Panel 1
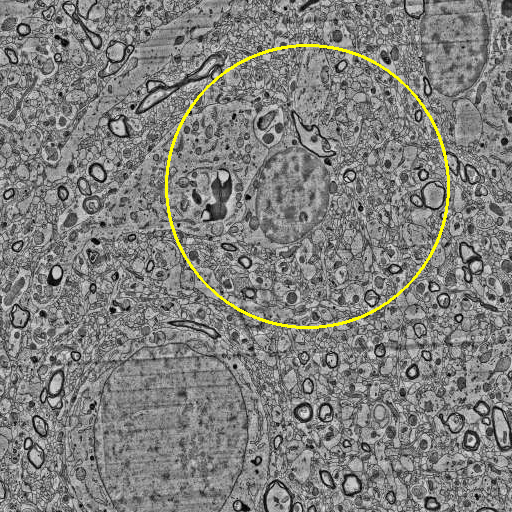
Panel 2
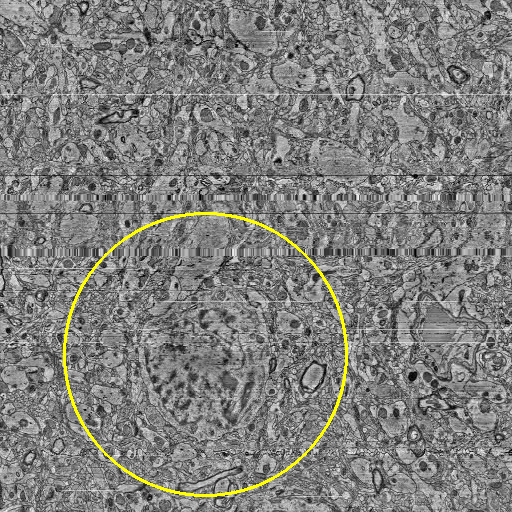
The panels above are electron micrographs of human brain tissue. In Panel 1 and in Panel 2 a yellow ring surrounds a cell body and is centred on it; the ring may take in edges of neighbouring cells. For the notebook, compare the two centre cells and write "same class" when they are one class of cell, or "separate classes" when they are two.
separate classes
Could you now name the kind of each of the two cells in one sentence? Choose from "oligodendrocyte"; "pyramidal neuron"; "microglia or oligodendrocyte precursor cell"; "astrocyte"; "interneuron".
The first ring encloses an oligodendrocyte; the second ring encloses an interneuron.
